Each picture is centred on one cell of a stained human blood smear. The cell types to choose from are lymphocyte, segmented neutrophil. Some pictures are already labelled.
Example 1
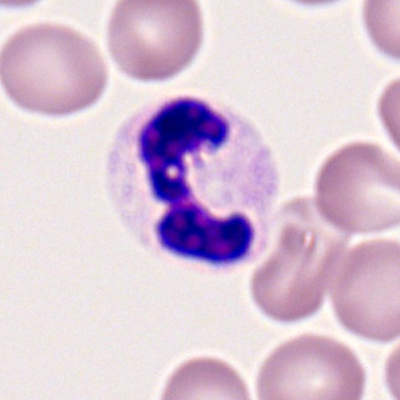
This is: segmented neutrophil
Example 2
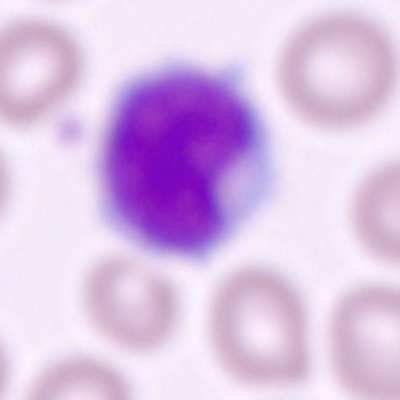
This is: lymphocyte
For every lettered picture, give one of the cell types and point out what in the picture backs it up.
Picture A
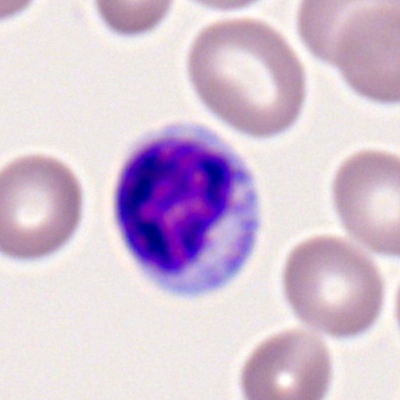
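Label: lymphocyte. The nucleus fills most of the cell and sits towards the left side.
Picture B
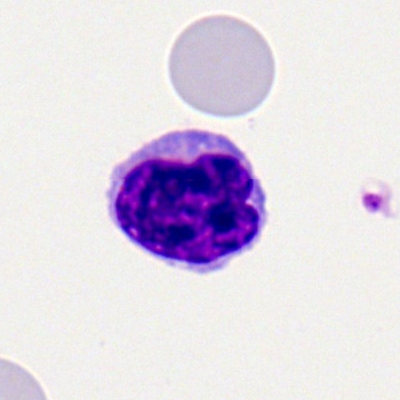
Label: lymphocyte. The nucleus fills most of the cell.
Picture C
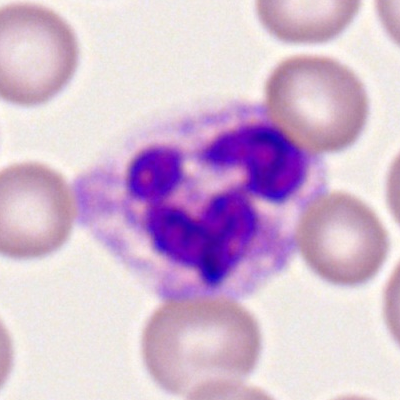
Label: segmented neutrophil. The cytoplasm is plentiful and pale pinkish-lilac.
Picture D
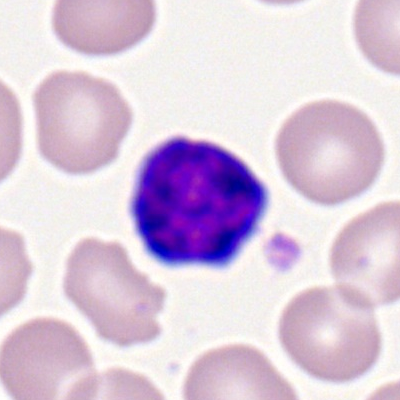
Label: lymphocyte. The nucleus fills almost the whole cell, leaving only a very thin rim of cytoplasm.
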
